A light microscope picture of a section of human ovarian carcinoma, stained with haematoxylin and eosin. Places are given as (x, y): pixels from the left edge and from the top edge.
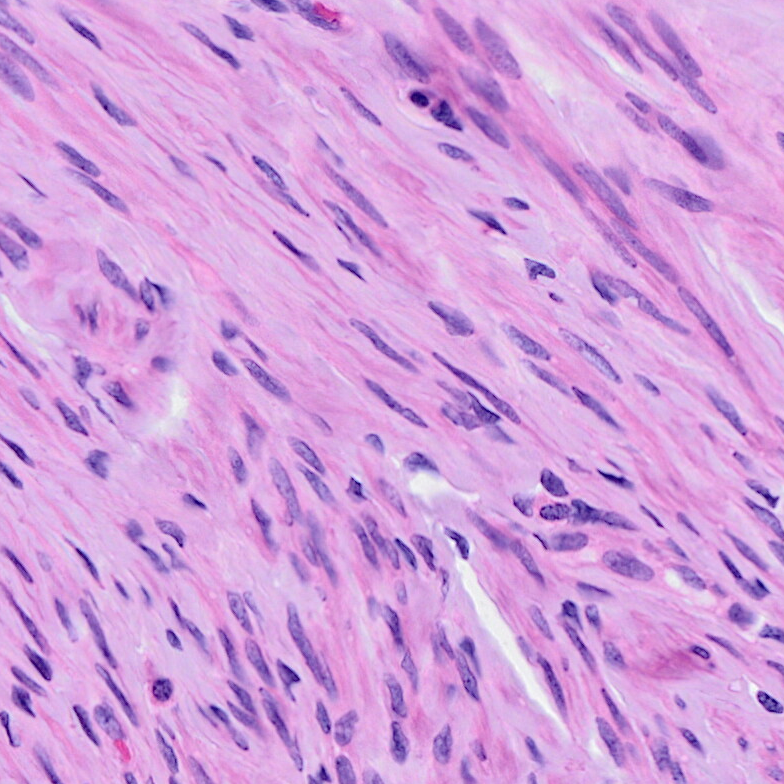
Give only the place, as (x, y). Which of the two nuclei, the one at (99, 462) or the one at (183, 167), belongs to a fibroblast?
(99, 462)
